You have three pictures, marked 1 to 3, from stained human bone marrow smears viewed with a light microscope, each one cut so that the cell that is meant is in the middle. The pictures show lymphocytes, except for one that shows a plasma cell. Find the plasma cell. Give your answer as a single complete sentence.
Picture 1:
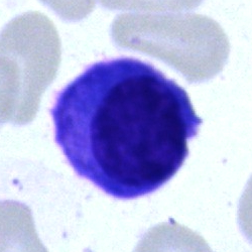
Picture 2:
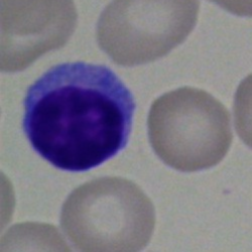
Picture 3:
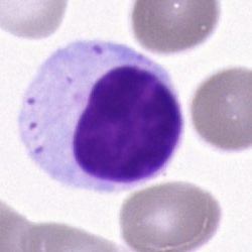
The cell in picture 1 is the plasma cell.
